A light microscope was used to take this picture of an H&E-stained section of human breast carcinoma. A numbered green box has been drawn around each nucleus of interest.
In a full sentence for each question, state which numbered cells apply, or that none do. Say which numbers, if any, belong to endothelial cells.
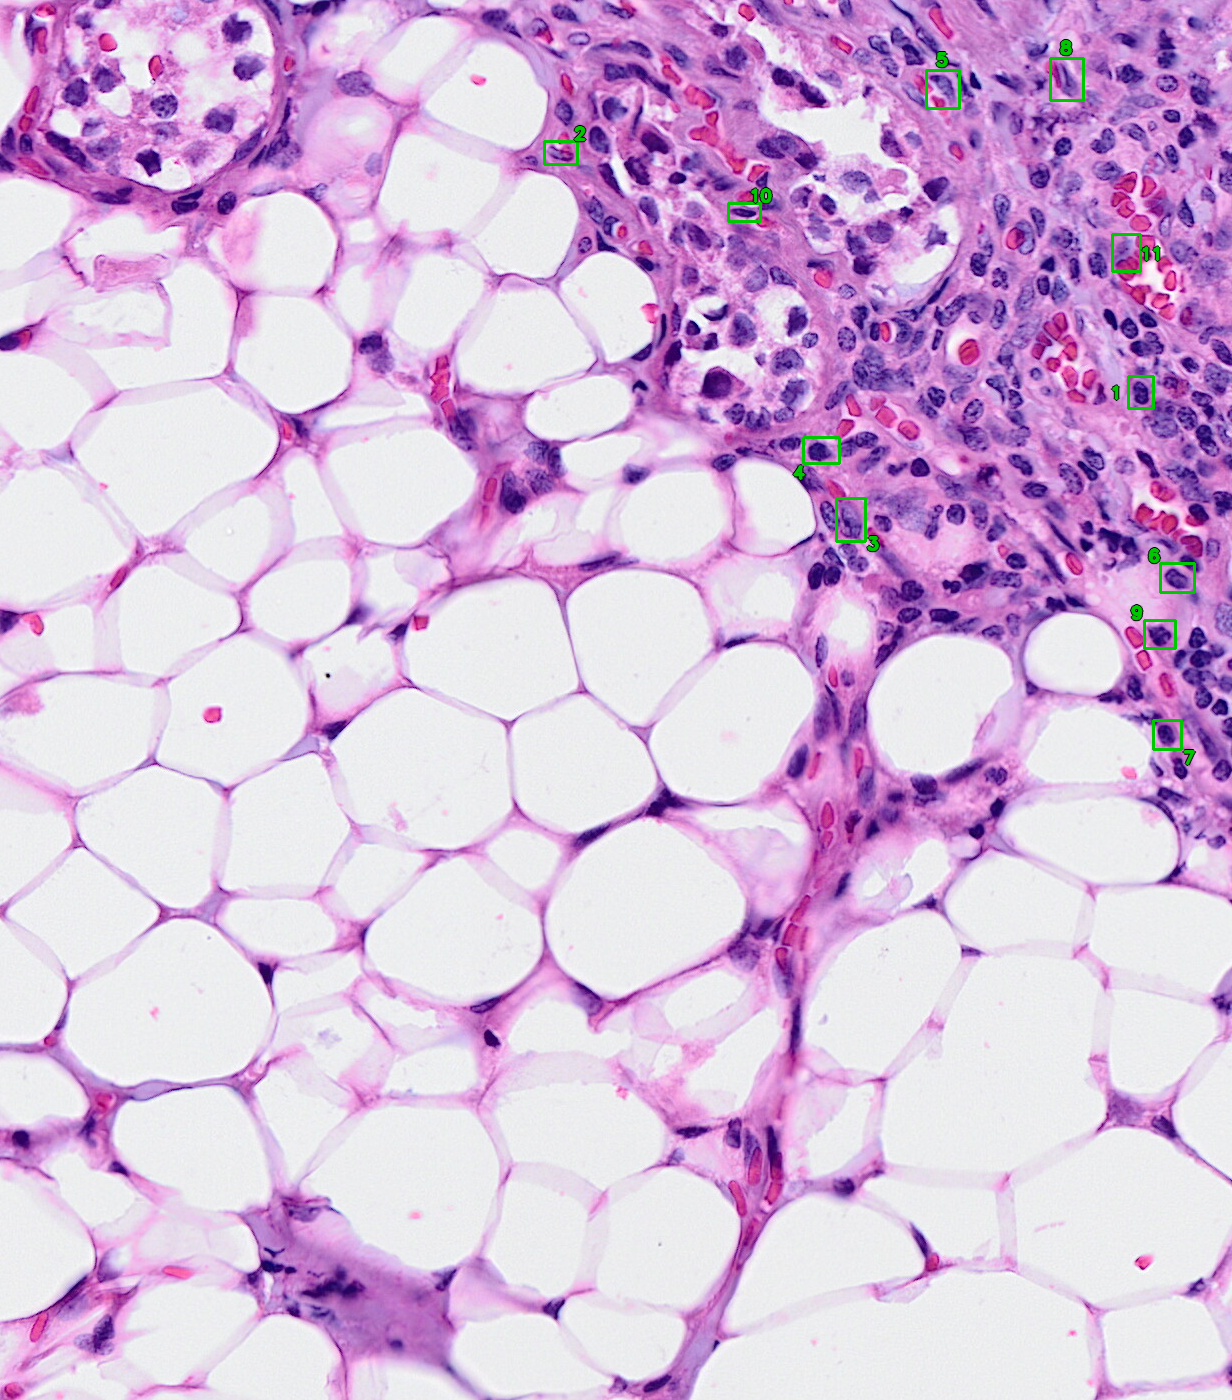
Marked by the numbers 2, 3, 5, 8, 10 and 11 are cells that are endothelial cells.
